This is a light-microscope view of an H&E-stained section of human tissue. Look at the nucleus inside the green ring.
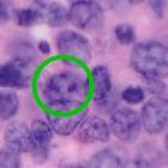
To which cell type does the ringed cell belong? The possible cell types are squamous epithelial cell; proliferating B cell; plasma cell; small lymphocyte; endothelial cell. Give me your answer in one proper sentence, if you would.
By its classification, the ringed cell is a proliferating B cell.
